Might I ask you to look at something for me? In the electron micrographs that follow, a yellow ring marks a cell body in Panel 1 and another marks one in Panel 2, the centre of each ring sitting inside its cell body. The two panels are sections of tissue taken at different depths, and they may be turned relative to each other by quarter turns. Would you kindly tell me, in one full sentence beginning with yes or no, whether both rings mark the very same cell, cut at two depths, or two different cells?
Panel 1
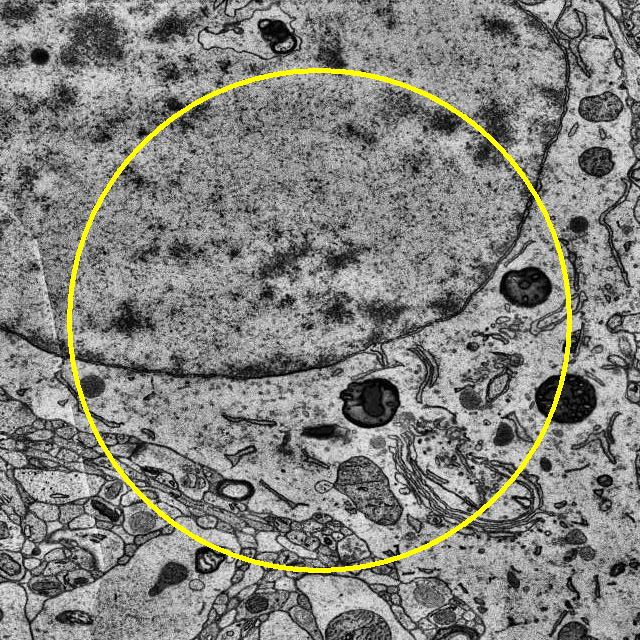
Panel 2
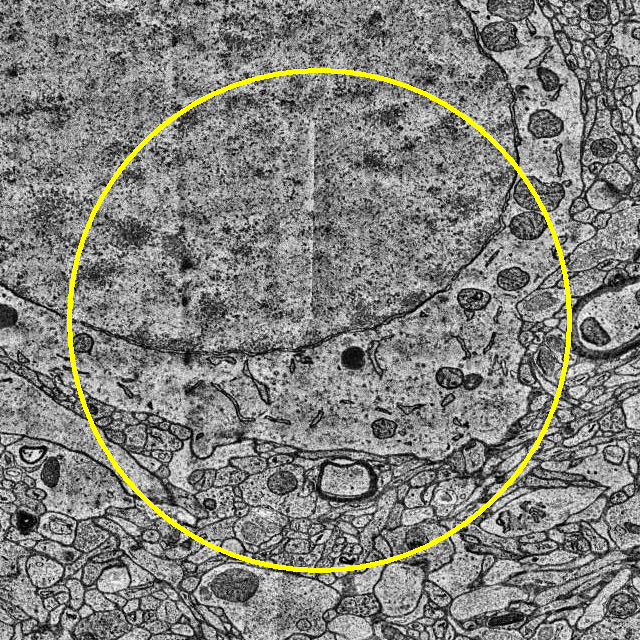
Yes, both circles in yellow pick out the same cell.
